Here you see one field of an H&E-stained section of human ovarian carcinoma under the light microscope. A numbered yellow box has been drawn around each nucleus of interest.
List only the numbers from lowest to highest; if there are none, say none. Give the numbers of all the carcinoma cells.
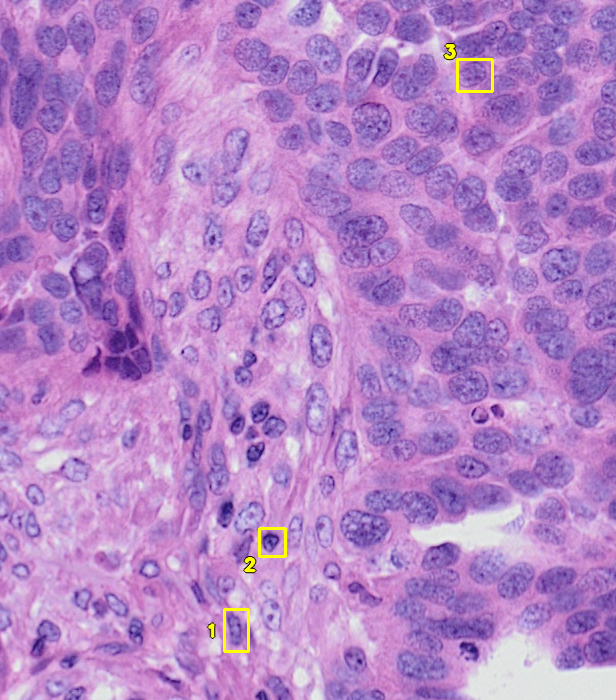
3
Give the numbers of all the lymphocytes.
2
